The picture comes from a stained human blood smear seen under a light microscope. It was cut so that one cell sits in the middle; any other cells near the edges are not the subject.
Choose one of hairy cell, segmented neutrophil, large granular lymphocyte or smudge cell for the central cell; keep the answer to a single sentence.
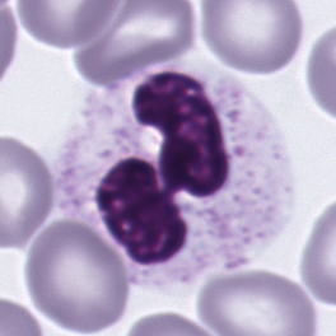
The central cell in this smear crop is a segmented neutrophil.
